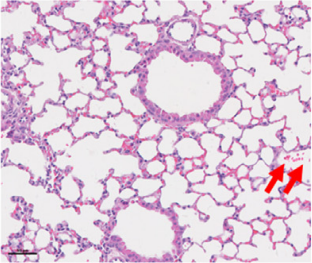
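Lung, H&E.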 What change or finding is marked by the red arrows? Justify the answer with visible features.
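The red arrows point to small red-staining blood cells lying in an alveolar space. The surrounding tissue is thin-walled alveoli.
Pulmonary haemorrhage.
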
